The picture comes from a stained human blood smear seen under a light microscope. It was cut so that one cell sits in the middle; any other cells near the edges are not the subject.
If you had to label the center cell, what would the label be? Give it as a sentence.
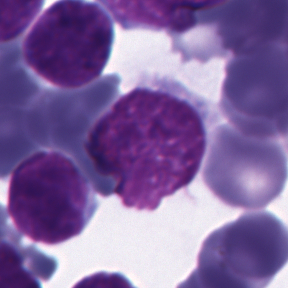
The central cell, amid any neighbouring cells, is a blast.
